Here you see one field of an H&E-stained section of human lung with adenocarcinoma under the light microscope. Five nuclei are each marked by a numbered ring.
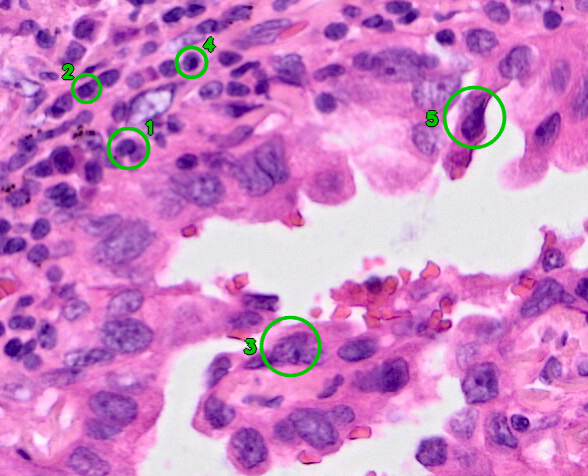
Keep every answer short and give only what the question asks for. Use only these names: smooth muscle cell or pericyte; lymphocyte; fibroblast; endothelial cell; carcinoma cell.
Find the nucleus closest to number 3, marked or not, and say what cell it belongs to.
carcinoma cell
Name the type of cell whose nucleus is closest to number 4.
lymphocyte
